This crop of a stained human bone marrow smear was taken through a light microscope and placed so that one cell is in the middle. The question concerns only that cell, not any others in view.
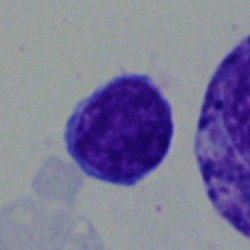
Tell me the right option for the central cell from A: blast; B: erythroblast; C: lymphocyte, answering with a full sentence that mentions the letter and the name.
The correct choice is option C, which identifies the middle cell as a lymphocyte.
